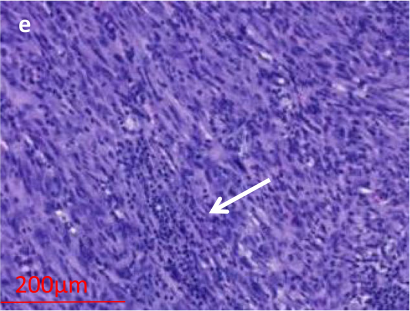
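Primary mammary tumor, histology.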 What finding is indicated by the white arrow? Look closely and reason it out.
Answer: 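Lymphocyte infiltration. The arrow points at a cluster of small, round, dark-staining nuclei. This cluster lies among elongated spindle-shaped tumor cells.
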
